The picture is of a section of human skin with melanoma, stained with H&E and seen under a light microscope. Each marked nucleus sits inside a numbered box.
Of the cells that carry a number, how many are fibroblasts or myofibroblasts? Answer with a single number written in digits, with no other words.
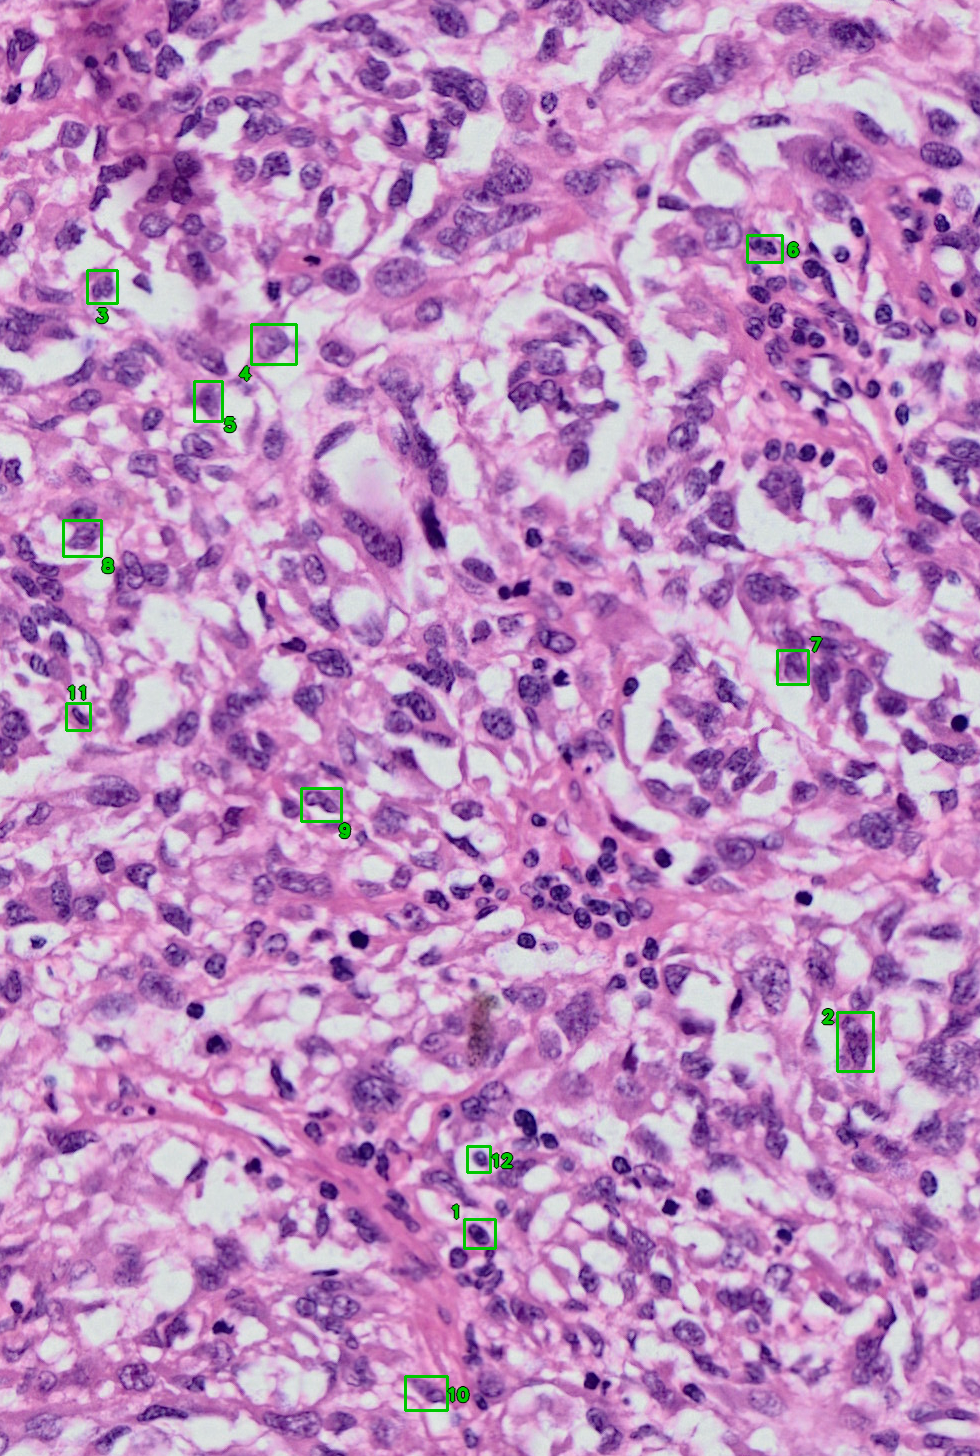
1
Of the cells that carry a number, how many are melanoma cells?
7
